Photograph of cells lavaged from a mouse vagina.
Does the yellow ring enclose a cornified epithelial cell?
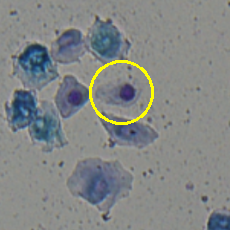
No. The ring encloses a nucleated epithelial cell.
